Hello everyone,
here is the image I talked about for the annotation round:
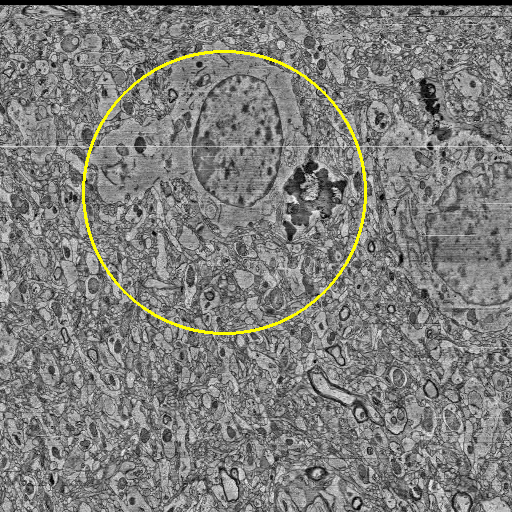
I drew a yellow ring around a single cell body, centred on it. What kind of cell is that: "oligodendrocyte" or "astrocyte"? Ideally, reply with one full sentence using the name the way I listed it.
The cell your yellow ring is centred on is an astrocyte, going by your list.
